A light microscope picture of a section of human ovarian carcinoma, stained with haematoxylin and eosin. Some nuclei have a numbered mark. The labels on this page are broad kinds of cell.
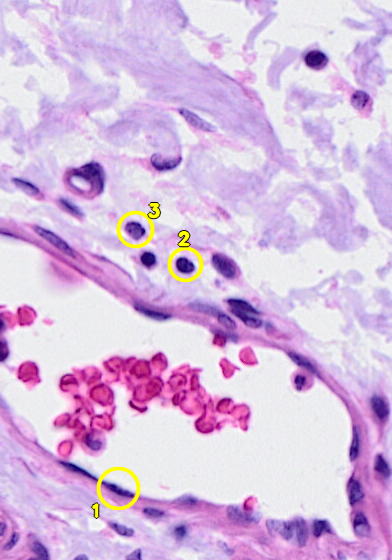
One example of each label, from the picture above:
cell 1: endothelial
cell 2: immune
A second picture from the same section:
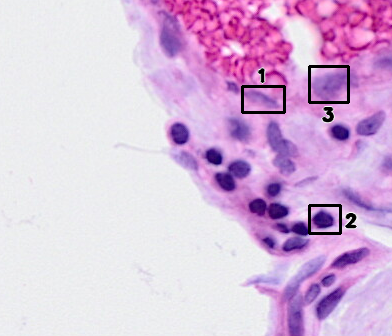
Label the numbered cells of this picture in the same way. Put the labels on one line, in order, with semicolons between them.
endothelial; immune; endothelial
